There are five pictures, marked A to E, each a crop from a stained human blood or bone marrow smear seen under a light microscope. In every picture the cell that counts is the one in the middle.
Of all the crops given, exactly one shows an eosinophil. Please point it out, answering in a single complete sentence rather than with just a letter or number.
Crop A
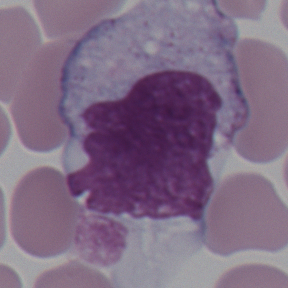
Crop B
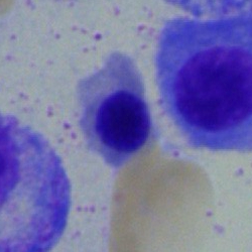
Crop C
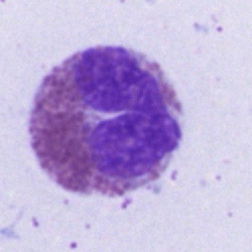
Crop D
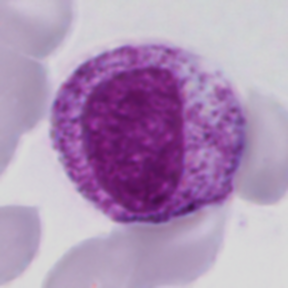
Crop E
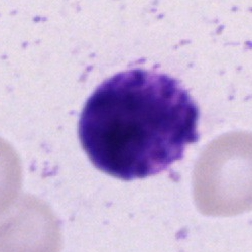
The crop that has an eosinophil in the middle is crop C.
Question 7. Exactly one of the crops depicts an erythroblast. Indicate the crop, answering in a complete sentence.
Crop B is the one depicting an erythroblast.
